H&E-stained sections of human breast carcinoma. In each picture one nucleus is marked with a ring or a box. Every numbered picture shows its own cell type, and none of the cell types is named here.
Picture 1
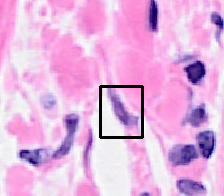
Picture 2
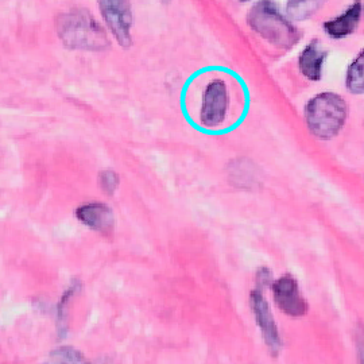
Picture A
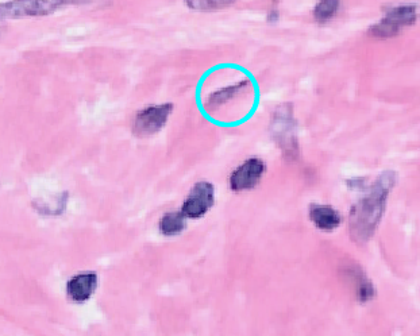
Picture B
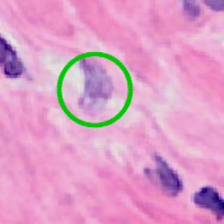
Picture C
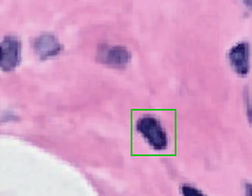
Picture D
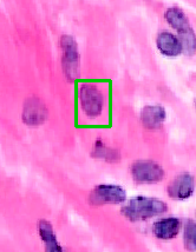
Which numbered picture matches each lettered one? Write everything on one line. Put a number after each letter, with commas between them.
A 1, B 1, C 2, D 2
